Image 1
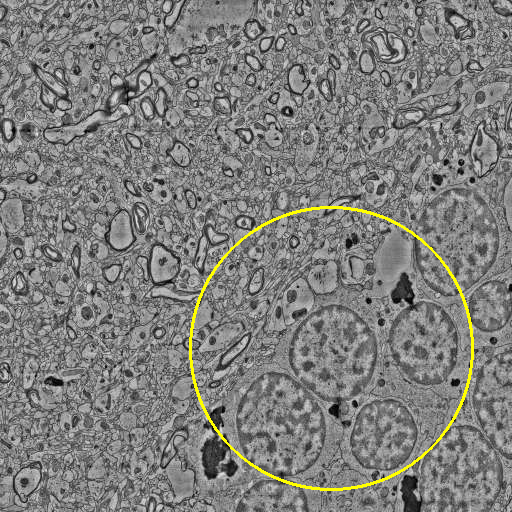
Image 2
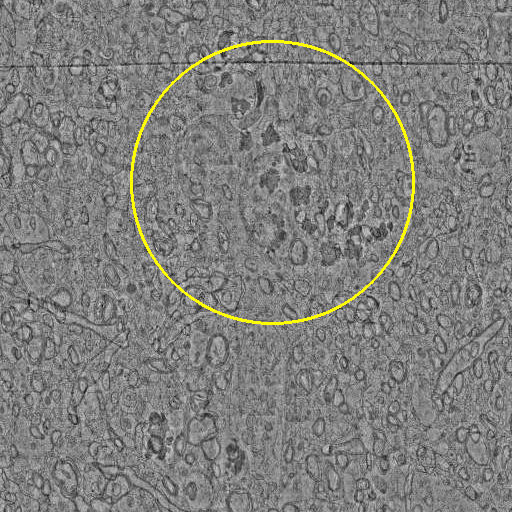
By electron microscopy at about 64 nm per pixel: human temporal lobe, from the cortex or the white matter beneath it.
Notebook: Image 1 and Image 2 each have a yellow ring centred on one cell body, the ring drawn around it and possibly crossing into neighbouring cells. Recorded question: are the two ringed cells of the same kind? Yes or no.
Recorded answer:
yes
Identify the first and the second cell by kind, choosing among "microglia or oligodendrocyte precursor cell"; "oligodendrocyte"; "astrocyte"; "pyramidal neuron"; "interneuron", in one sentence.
Both pictures show an oligodendrocyte at the centre of the ring.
